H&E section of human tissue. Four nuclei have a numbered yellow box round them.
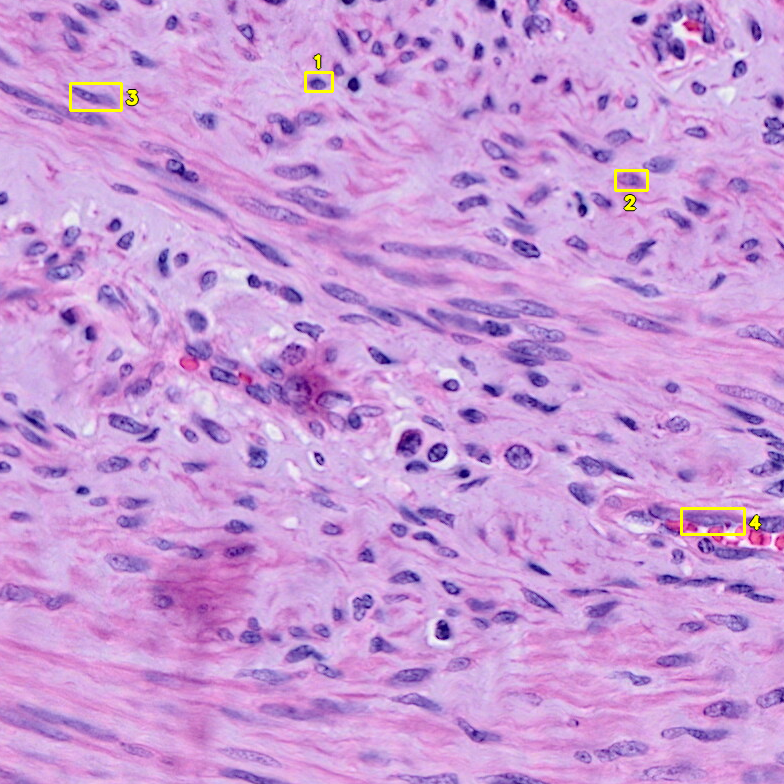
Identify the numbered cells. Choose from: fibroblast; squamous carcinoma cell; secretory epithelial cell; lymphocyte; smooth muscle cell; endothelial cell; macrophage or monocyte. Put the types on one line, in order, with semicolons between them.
smooth muscle cell; smooth muscle cell; smooth muscle cell; endothelial cell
